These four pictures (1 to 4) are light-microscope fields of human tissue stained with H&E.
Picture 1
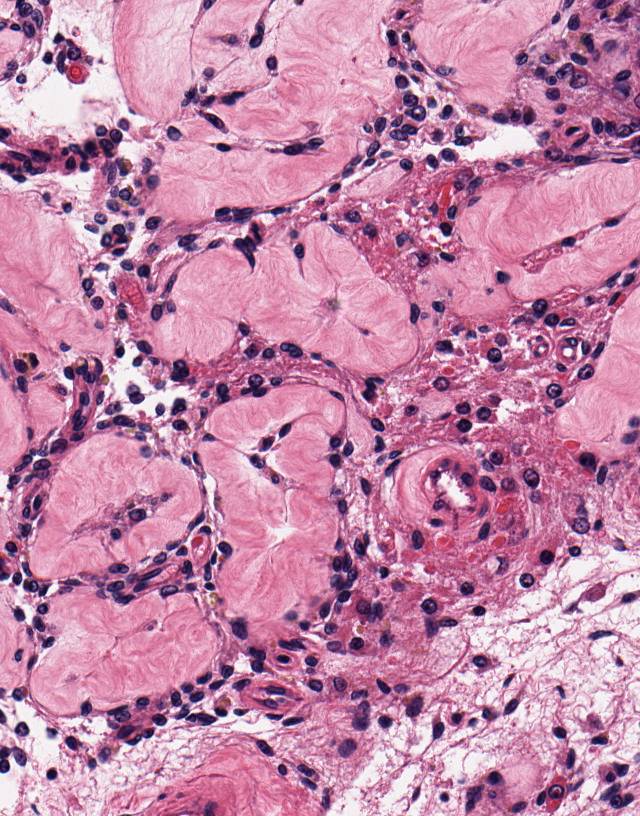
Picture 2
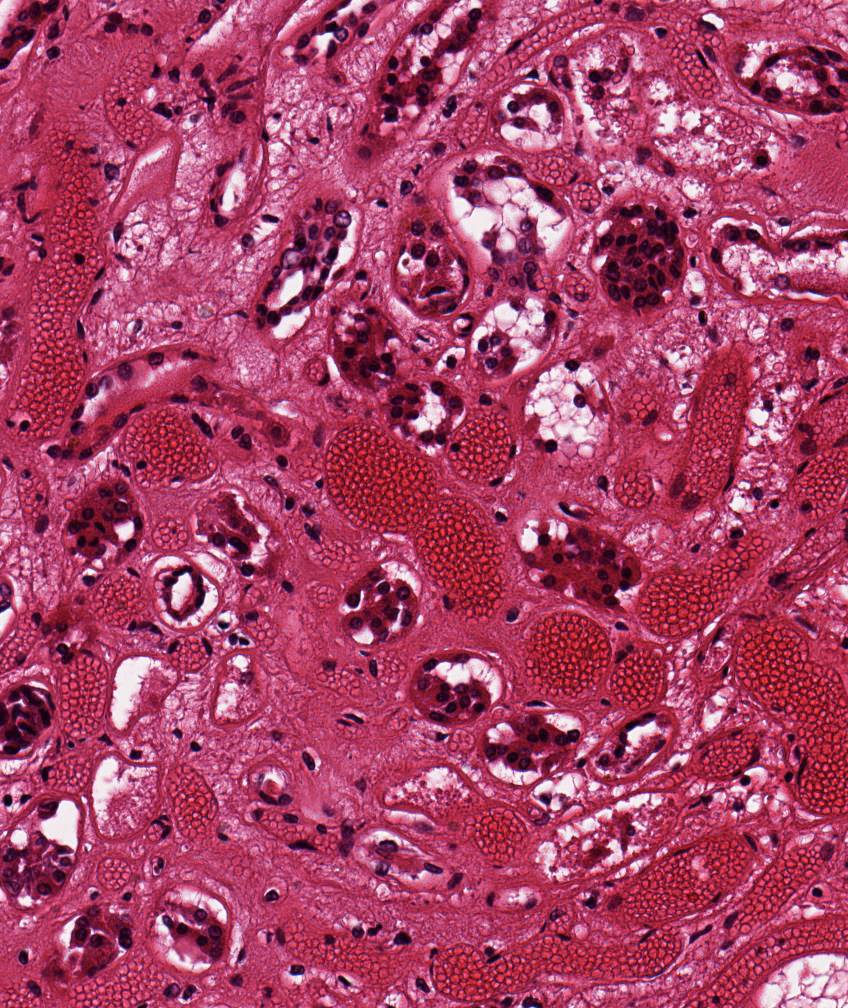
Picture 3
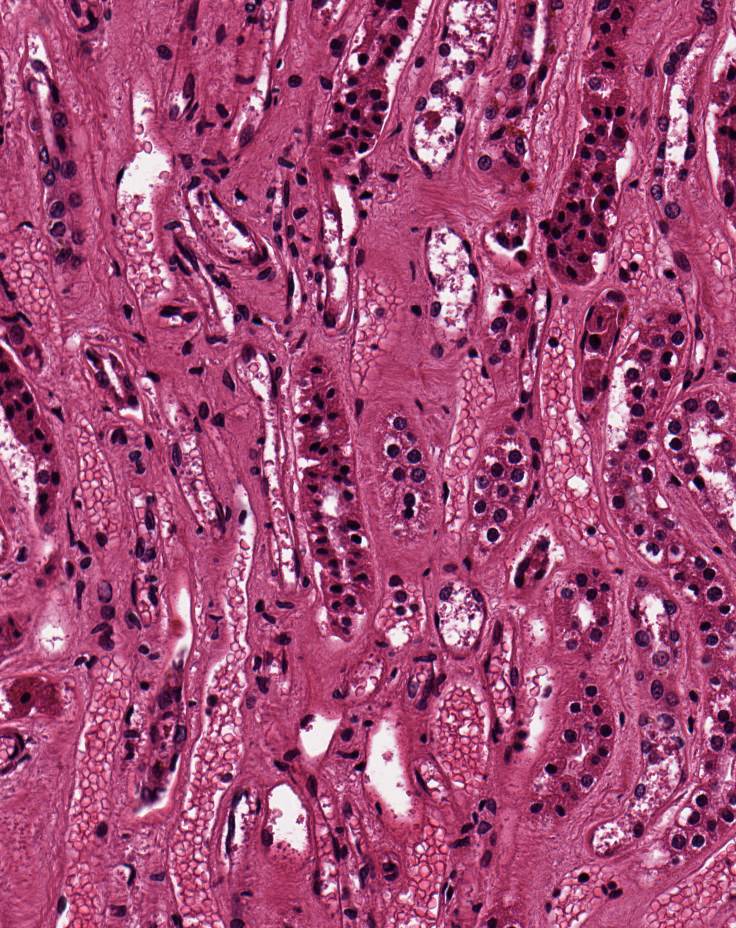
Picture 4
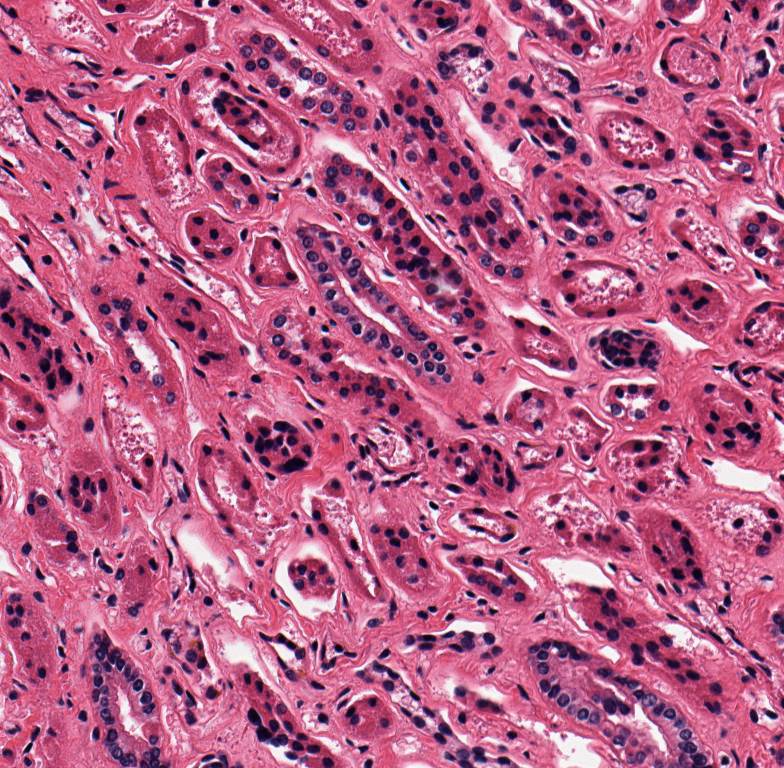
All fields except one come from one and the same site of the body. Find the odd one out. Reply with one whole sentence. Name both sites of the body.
All pictures except 1 come from the renal medulla; picture 1 comes from the testis.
